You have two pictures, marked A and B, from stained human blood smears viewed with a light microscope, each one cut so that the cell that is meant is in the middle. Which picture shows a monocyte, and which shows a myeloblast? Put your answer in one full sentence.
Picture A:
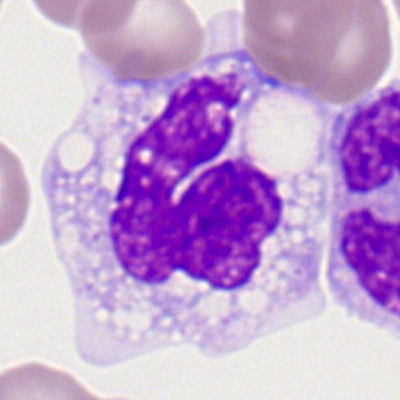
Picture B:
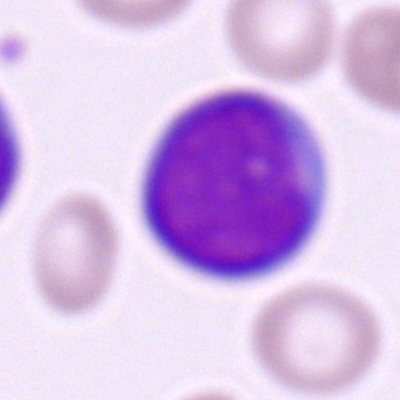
Picture A is of a monocyte, and picture B is of a myeloblast.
